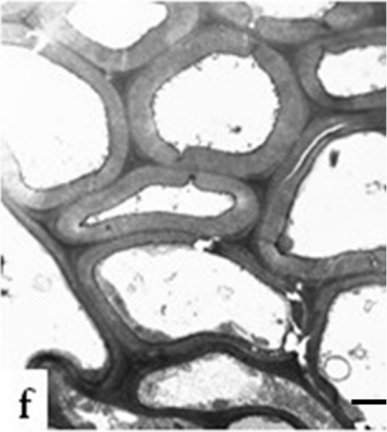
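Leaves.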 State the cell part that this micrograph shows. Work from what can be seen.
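Thick grey bands enclose pale cell lumens. The bands are shared between neighbouring cells, with a darker line along their middle.
Cell wall.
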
